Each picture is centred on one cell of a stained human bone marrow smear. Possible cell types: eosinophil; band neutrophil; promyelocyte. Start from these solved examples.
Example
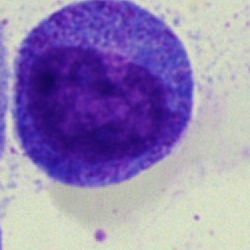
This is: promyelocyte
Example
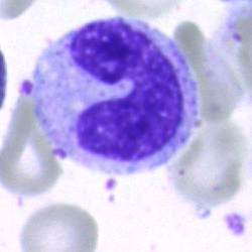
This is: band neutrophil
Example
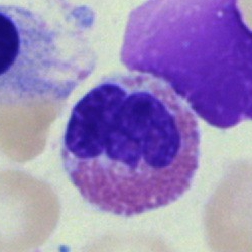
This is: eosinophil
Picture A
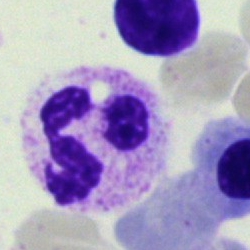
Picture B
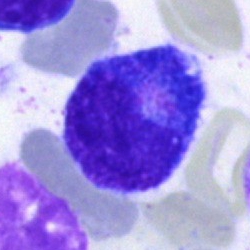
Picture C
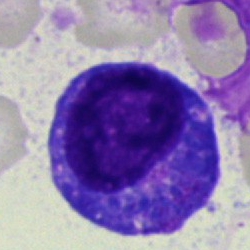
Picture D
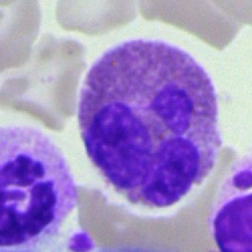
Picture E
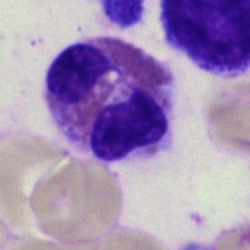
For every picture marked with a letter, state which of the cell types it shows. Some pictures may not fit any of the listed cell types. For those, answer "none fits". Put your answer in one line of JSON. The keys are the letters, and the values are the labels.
{"A": "none fits", "B": "promyelocyte", "C": "promyelocyte", "D": "eosinophil", "E": "eosinophil"}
